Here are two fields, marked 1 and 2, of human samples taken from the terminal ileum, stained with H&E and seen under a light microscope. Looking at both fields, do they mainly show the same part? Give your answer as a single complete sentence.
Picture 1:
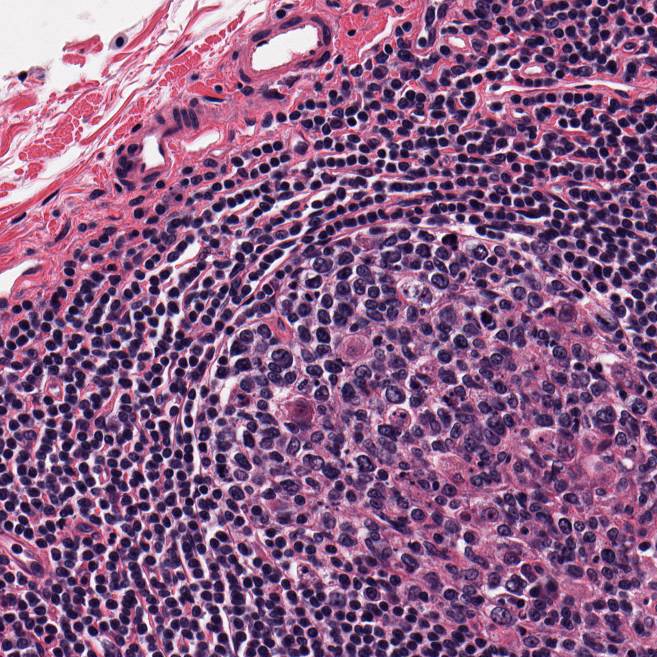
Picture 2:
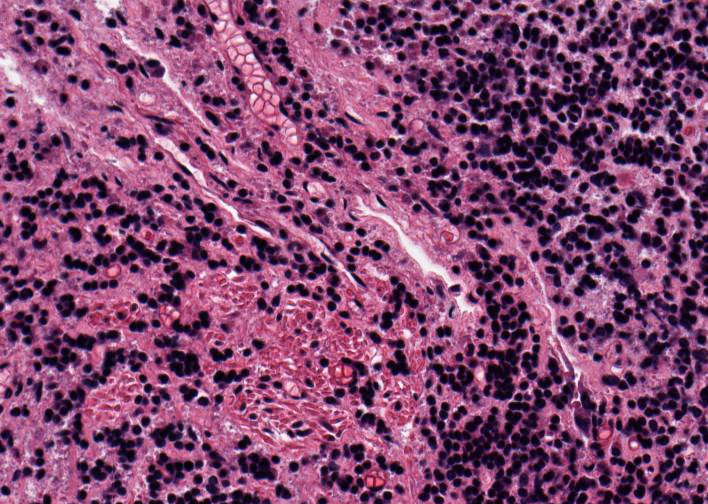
Yes, they mainly show the same part: both mainly show lymphoid tissue.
